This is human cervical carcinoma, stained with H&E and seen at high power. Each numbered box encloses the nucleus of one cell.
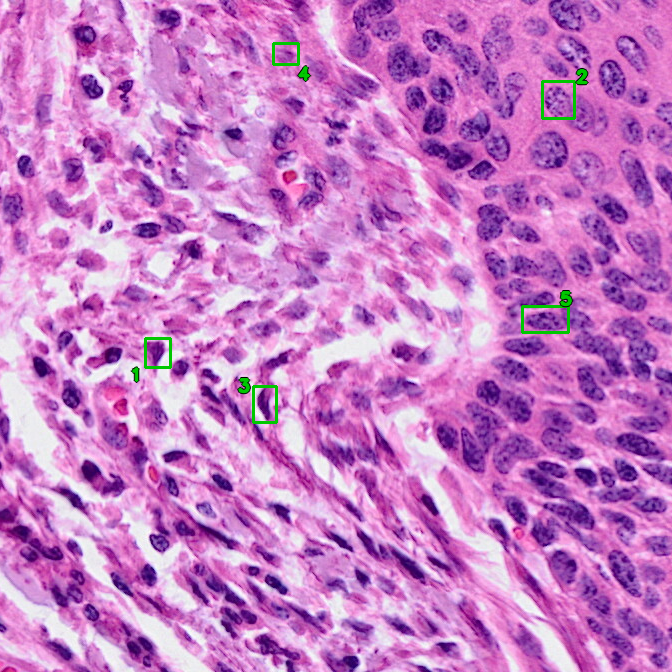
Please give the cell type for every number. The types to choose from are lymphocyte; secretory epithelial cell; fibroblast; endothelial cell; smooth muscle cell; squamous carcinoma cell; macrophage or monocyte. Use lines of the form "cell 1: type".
cell 1: fibroblast
cell 2: squamous carcinoma cell
cell 3: fibroblast
cell 4: fibroblast
cell 5: squamous carcinoma cell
